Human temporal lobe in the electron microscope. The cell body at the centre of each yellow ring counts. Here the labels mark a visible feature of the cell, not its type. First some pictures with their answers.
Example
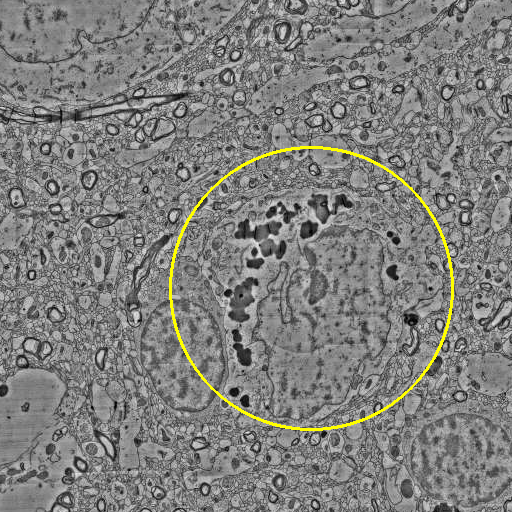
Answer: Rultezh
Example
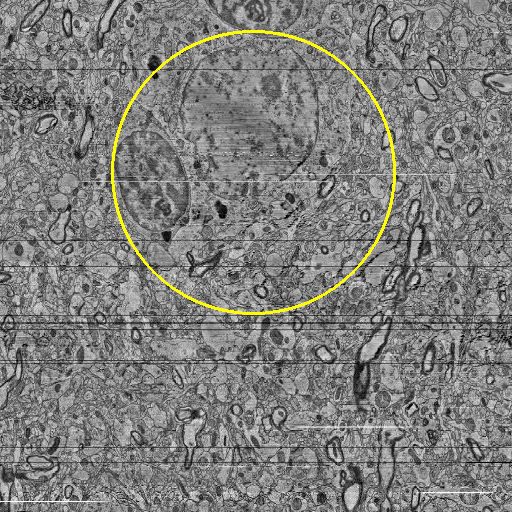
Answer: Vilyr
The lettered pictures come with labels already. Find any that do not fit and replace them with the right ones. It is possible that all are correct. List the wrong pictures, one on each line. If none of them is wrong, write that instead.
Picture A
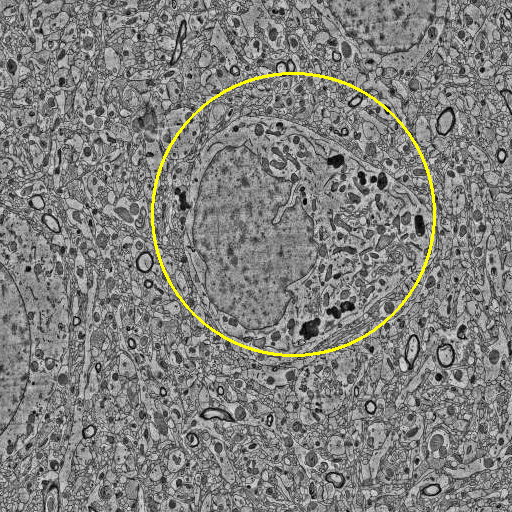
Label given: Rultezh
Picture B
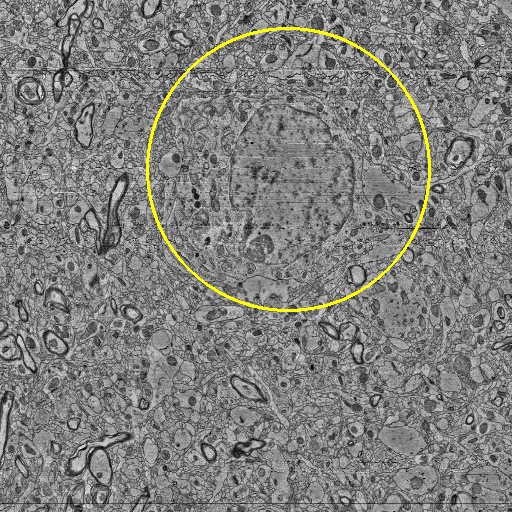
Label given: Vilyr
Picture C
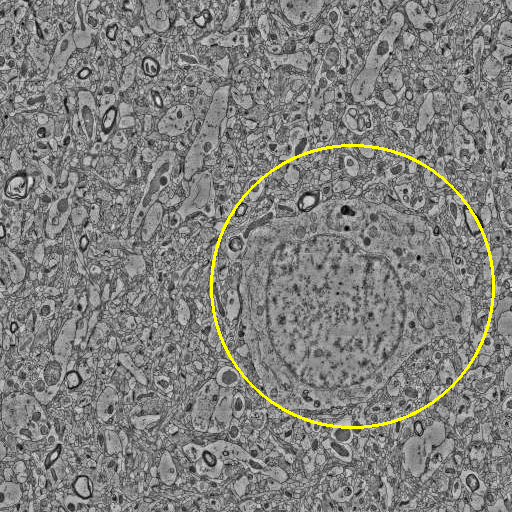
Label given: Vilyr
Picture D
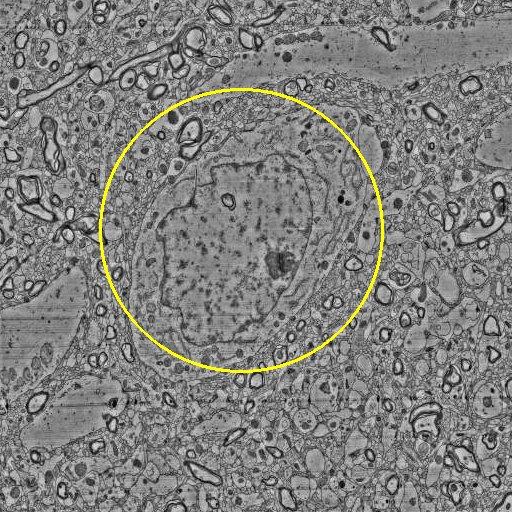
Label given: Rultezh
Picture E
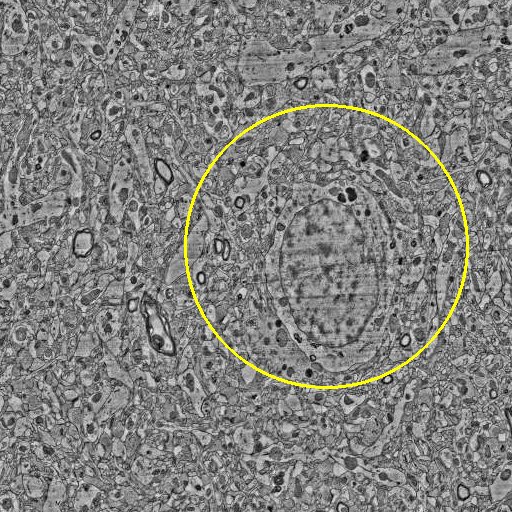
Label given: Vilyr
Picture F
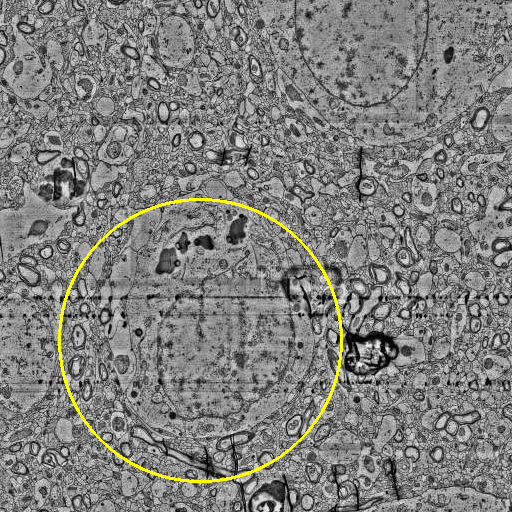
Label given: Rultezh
F: Vilyr, not Rultezh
